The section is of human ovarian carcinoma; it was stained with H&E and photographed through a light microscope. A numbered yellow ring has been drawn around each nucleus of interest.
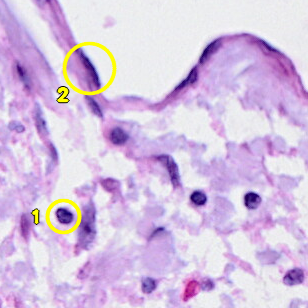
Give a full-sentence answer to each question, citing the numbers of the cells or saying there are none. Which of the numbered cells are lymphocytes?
It is only cell 1 that is a lymphocyte among the numbered cells.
